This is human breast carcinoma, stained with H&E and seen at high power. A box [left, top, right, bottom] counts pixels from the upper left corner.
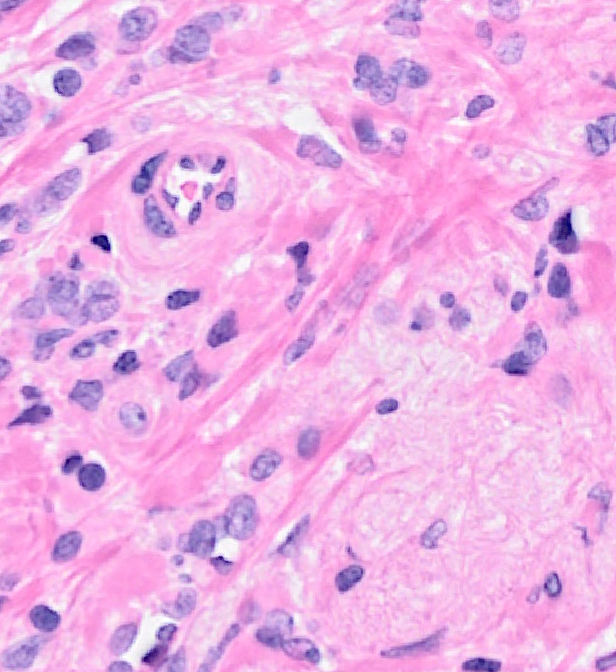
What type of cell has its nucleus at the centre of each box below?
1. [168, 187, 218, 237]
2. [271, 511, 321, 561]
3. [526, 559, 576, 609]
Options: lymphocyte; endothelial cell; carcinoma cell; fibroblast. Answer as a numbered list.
1. endothelial cell
2. fibroblast
3. endothelial cell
